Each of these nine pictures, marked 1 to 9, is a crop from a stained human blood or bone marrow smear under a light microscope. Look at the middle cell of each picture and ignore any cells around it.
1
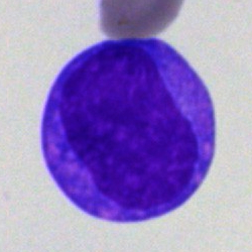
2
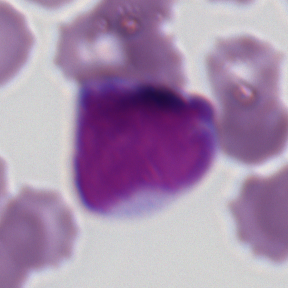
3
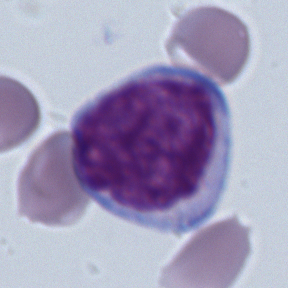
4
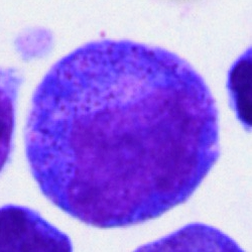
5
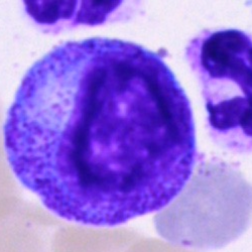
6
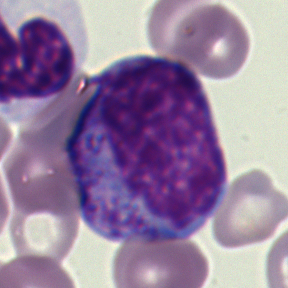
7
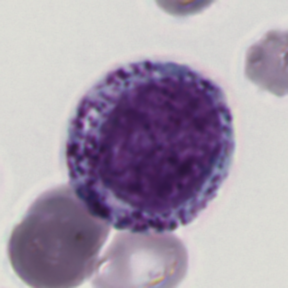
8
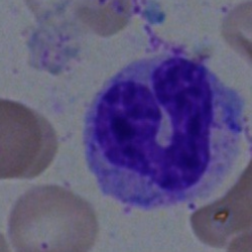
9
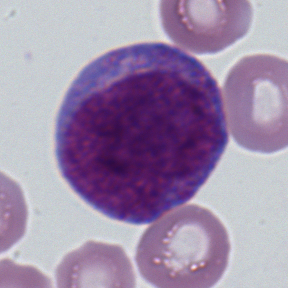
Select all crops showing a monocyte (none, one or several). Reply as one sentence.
Only in crop 8 of this set is a monocyte shown.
